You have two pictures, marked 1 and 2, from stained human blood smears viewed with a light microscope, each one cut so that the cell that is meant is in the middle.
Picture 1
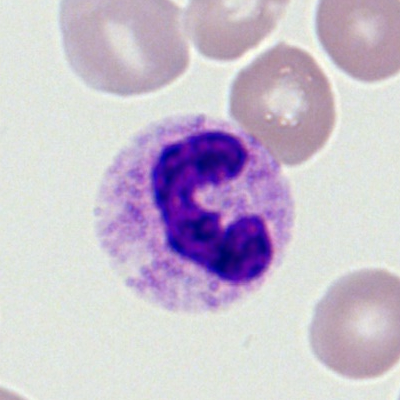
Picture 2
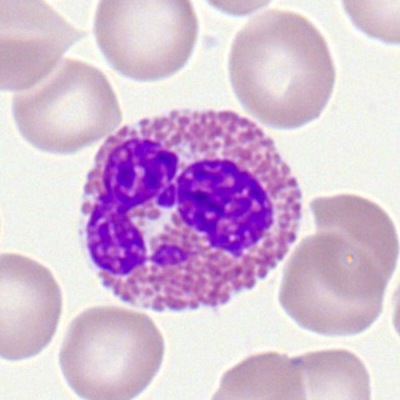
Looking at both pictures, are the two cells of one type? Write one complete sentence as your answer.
No, they differ: the cell is a band neutrophil in picture 1 and an eosinophil in picture 2.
